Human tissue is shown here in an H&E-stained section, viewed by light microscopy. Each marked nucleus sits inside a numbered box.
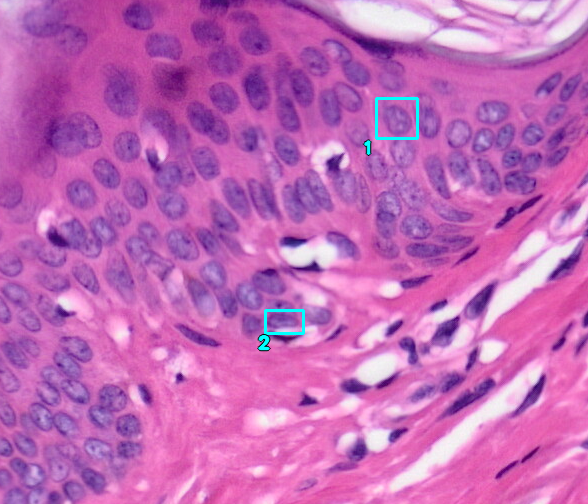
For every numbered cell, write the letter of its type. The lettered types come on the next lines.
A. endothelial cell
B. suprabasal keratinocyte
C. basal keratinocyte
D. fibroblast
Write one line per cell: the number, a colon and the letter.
1: B
2: C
